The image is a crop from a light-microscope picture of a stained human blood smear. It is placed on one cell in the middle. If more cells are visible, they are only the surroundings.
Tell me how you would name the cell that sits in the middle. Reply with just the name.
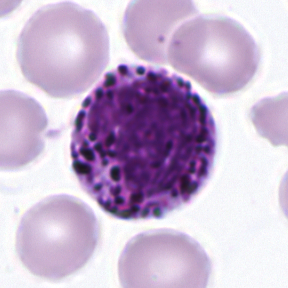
basophil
